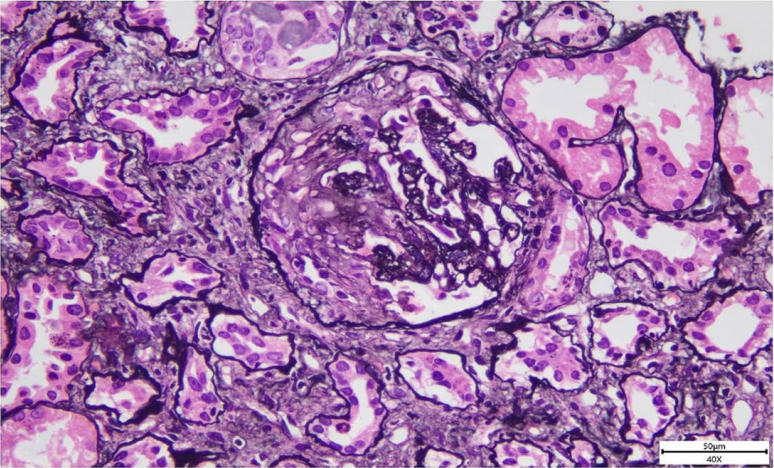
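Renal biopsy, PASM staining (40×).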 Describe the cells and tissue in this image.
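This is kidney cortex with a glomerulus at the centre, surrounded by tubules. Its basement membranes are stained black. The capillary loops of the glomerular tuft are crowded and pushed to one side. A broad band of layered fibrous tissue lies between the tuft and the black line of Bowman's capsule, forming a crescent. The surrounding tubules, with pink cytoplasm and purple nuclei, are outlined by black basement membranes and set in a widened interstitium.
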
